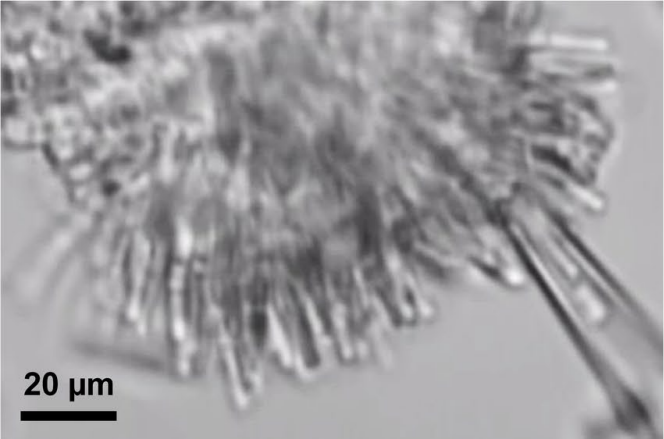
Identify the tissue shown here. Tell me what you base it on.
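An irregular clump of tissue rather than a single isolated cell. Many slender, elongated photoreceptor-like processes protrude in parallel from one edge of the clump. A glass pipette approaches the protruding processes at the lower right.
Answer: retinal fragment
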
